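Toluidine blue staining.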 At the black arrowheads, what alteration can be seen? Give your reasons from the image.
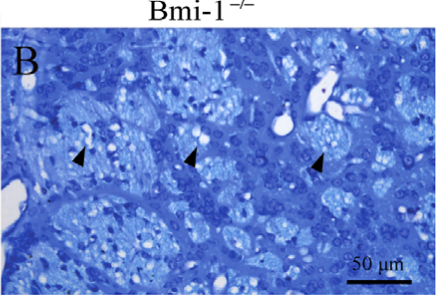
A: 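Round clear holes lie within the pale fiber bundles. The arrowheads point at these empty spaces.
Answer: vacuoles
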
